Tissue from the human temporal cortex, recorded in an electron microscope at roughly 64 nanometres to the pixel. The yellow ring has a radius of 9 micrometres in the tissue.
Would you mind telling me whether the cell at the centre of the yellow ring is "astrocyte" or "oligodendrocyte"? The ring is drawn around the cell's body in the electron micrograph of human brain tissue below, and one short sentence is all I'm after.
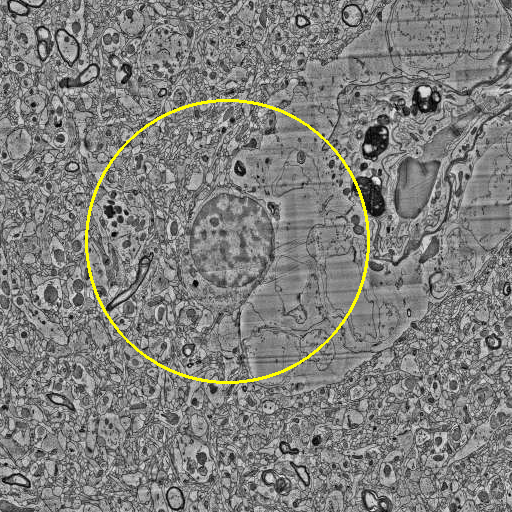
In the centre of the ring lies an oligodendrocyte.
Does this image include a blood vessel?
Yes, the picture includes a blood vessel.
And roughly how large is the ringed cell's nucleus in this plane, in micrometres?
The nucleus appears about 6 micrometres across in this plane.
